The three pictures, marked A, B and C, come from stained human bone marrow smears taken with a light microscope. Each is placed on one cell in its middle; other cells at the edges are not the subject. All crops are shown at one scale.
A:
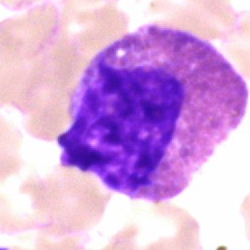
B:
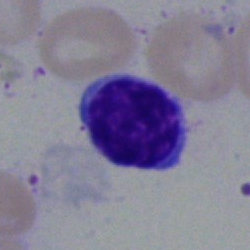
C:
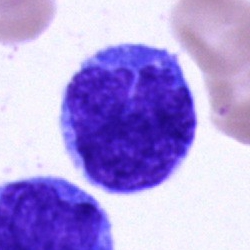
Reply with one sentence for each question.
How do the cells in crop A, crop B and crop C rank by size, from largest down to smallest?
Going down, they run A, C, B.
